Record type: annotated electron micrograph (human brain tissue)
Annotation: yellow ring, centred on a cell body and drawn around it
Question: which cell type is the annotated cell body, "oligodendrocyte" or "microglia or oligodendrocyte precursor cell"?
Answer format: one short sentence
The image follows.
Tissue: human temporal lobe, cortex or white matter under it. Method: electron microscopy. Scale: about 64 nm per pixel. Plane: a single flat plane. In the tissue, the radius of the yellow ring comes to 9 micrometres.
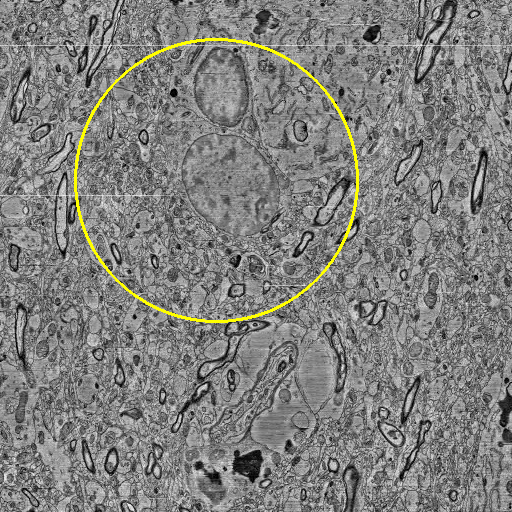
The annotated cell body is that of an oligodendrocyte.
